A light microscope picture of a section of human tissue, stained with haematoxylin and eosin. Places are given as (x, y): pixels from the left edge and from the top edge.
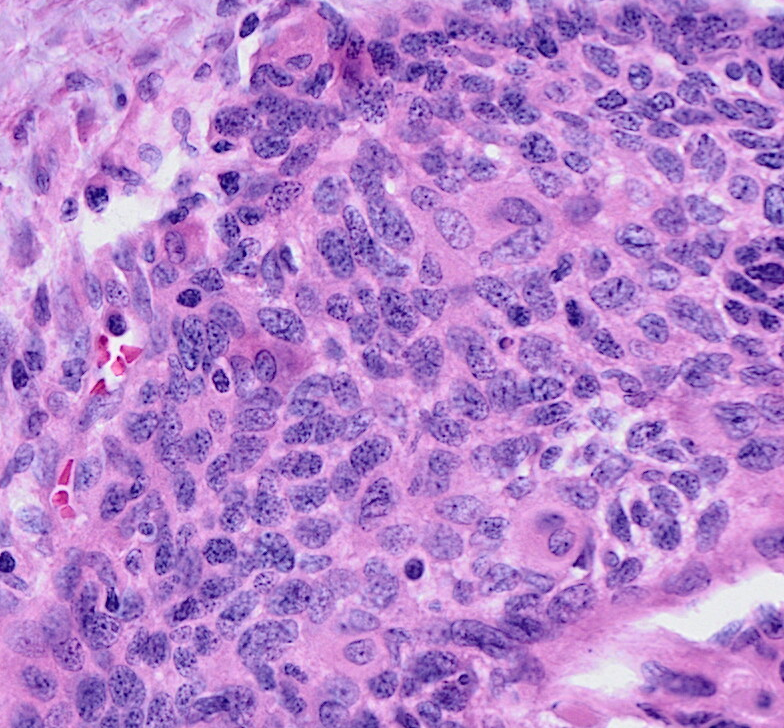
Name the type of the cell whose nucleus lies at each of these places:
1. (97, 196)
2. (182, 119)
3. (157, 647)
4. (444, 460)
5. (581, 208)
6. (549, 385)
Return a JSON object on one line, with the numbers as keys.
{"1": "lymphocyte", "2": "macrophage or monocyte", "3": "squamous carcinoma cell", "4": "squamous carcinoma cell", "5": "squamous carcinoma cell", "6": "squamous carcinoma cell"}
